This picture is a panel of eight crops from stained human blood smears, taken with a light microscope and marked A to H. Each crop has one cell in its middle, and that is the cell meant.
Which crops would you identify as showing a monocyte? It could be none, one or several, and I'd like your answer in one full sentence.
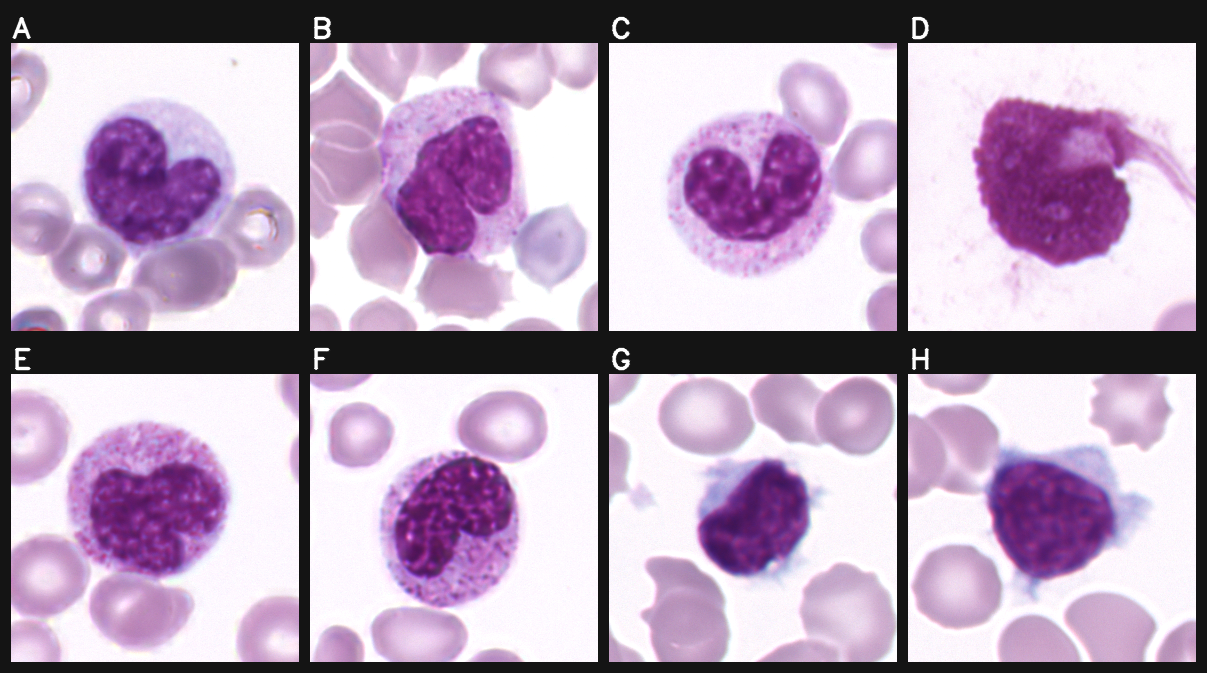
Within the crops, the central cell is never a monocyte.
